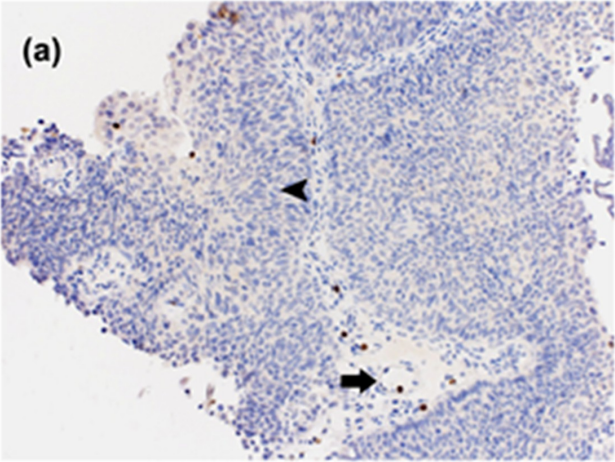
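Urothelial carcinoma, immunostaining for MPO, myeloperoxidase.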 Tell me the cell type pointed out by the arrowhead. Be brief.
Tumour cell.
